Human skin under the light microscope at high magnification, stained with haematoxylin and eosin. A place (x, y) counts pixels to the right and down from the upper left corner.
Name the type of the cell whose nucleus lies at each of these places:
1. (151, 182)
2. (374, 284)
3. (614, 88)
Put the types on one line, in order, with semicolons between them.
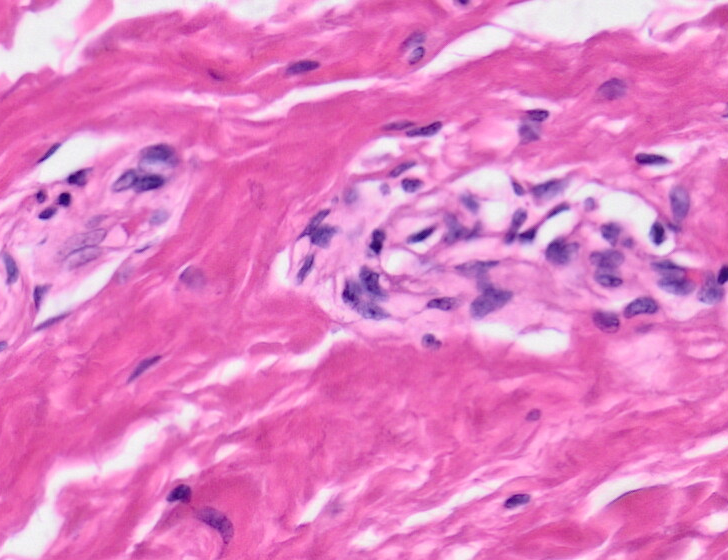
endothelial cell; endothelial cell; fibroblast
